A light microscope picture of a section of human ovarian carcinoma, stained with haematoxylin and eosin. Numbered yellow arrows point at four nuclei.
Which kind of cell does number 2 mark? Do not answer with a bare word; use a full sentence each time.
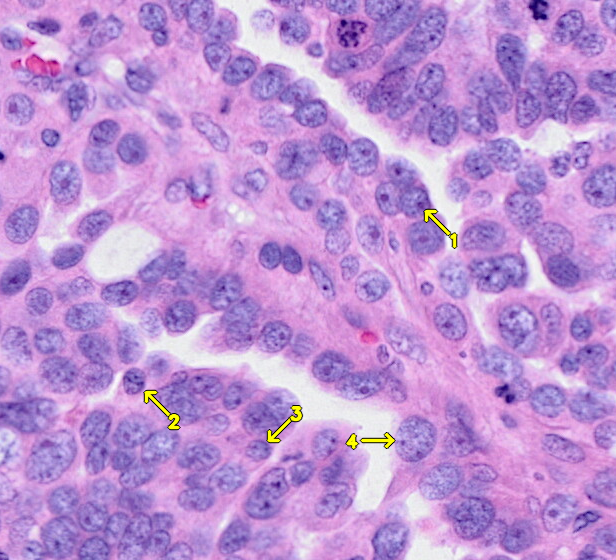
The nucleus marked 2 is the nucleus of a macrophage or monocyte.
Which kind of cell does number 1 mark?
The correct label for cell 1 is a carcinoma cell.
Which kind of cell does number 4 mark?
Among the marked nuclei, number 4 belongs to a carcinoma cell.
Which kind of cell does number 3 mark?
The cell tagged with 3 in this tissue section is a carcinoma cell.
